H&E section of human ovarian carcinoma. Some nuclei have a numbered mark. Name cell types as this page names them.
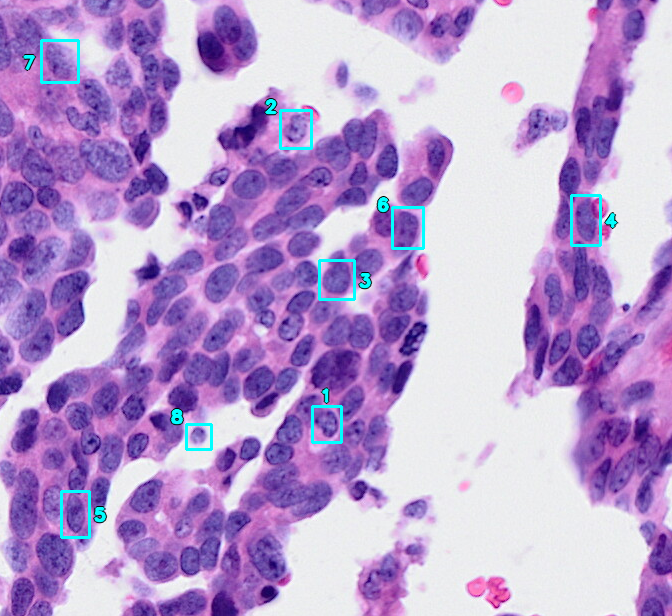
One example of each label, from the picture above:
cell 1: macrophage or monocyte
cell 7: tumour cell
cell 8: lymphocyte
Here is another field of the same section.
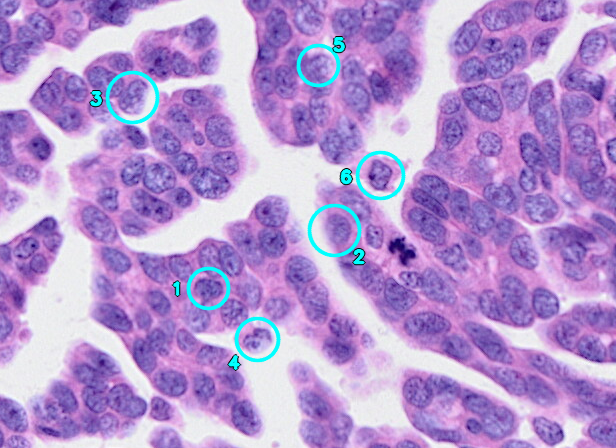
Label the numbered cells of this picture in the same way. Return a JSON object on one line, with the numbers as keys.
{"1": "tumour cell", "2": "tumour cell", "3": "tumour cell", "4": "macrophage or monocyte", "5": "tumour cell", "6": "macrophage or monocyte"}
